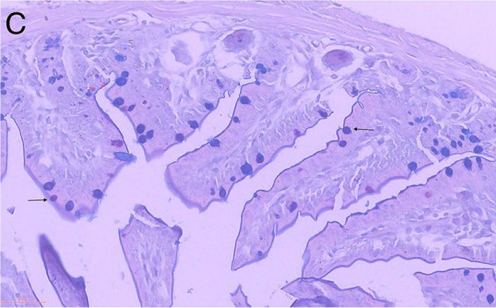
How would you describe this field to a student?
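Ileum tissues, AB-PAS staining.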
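Here the ileal wall curves across the top, with villi projecting down and to the left into the lumen. Their epithelial lining carries numerous rounded goblet cells filled with dark blue mucus, some with a magenta tinge, spaced along the surface. The cores of the villi are pale and loosely textured, and the smooth outer muscle layer forms a band at the upper edge.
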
